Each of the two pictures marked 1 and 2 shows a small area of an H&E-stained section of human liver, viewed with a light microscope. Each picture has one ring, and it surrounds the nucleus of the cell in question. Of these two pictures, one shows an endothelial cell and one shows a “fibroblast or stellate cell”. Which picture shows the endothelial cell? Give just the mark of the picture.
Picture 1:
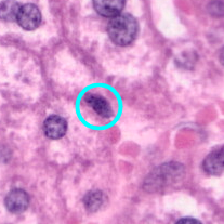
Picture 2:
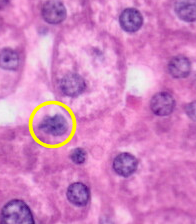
2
